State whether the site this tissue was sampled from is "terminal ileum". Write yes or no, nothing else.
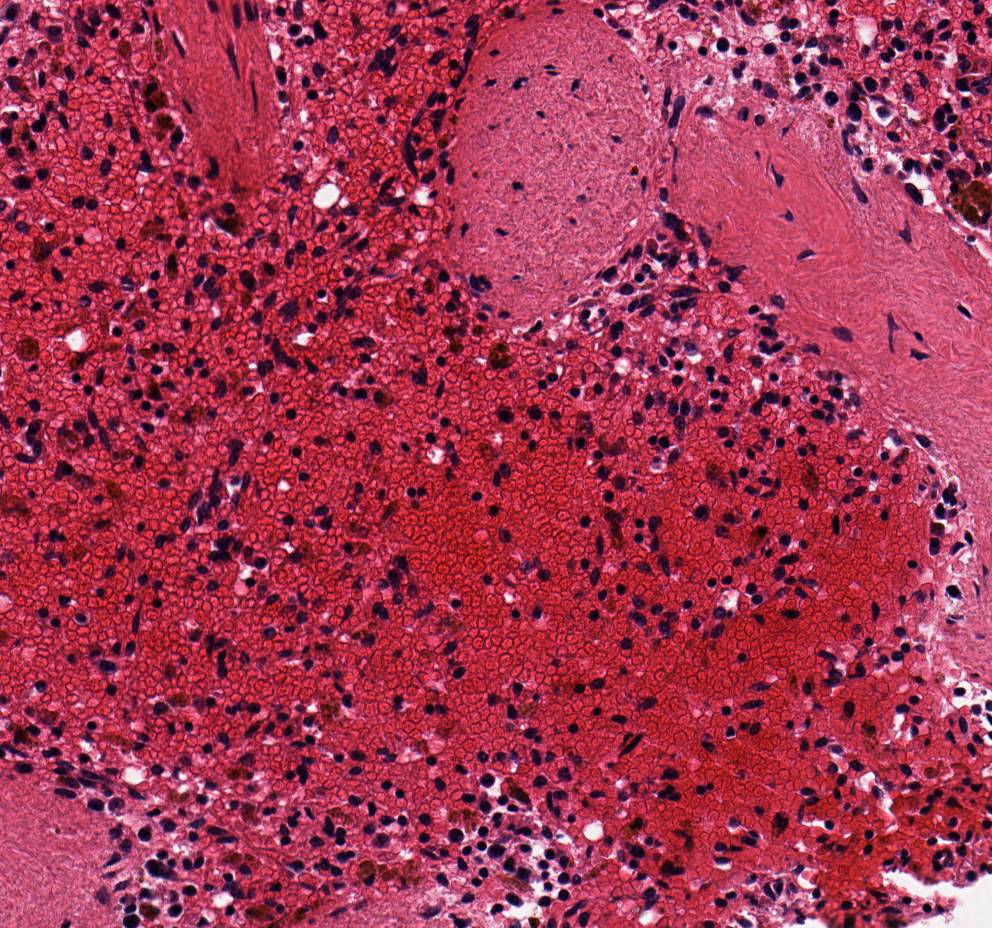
no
